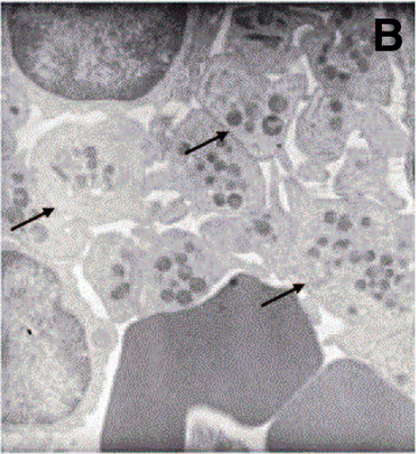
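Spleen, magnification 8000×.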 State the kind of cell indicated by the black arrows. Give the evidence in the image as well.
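Thrombocytes. Many small anucleate cell profiles are packed together between larger cells. The small profiles contain round dark granules. The arrows point into this cluster of small profiles.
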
